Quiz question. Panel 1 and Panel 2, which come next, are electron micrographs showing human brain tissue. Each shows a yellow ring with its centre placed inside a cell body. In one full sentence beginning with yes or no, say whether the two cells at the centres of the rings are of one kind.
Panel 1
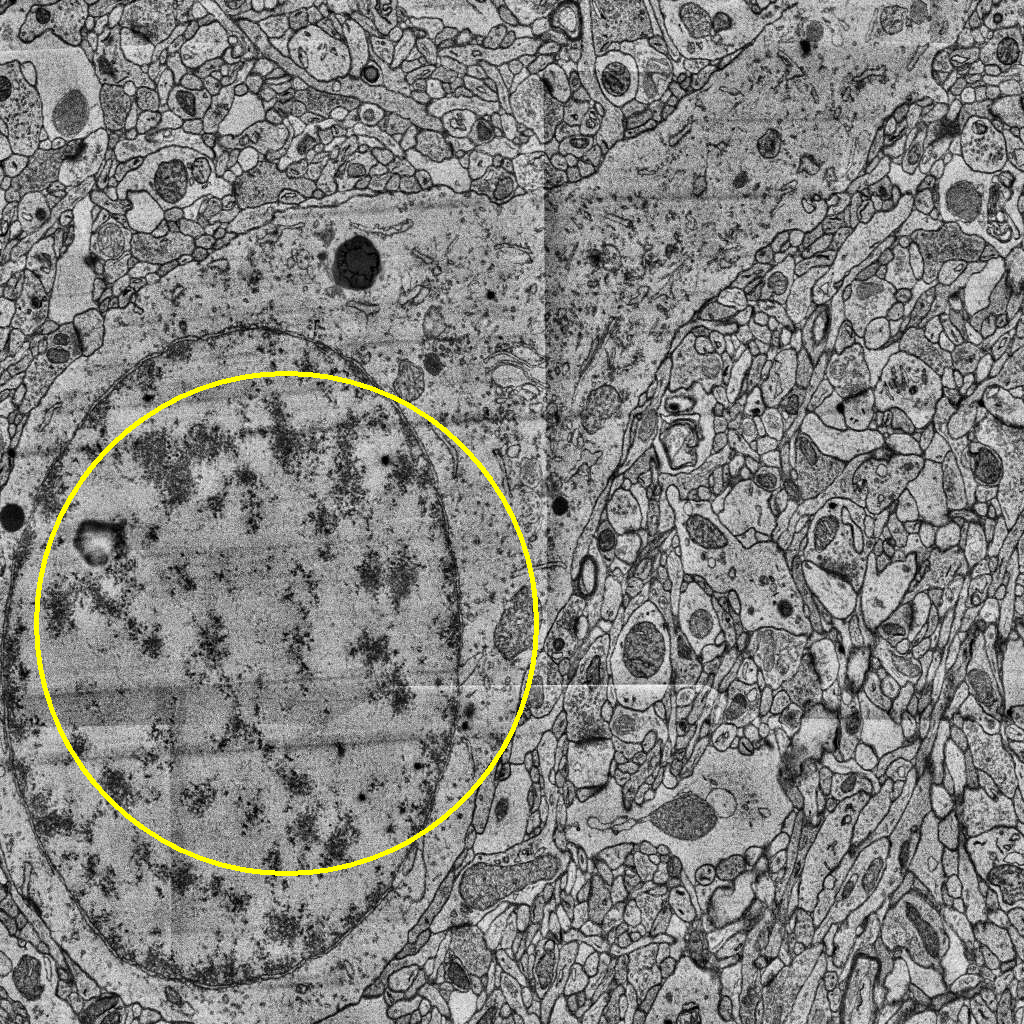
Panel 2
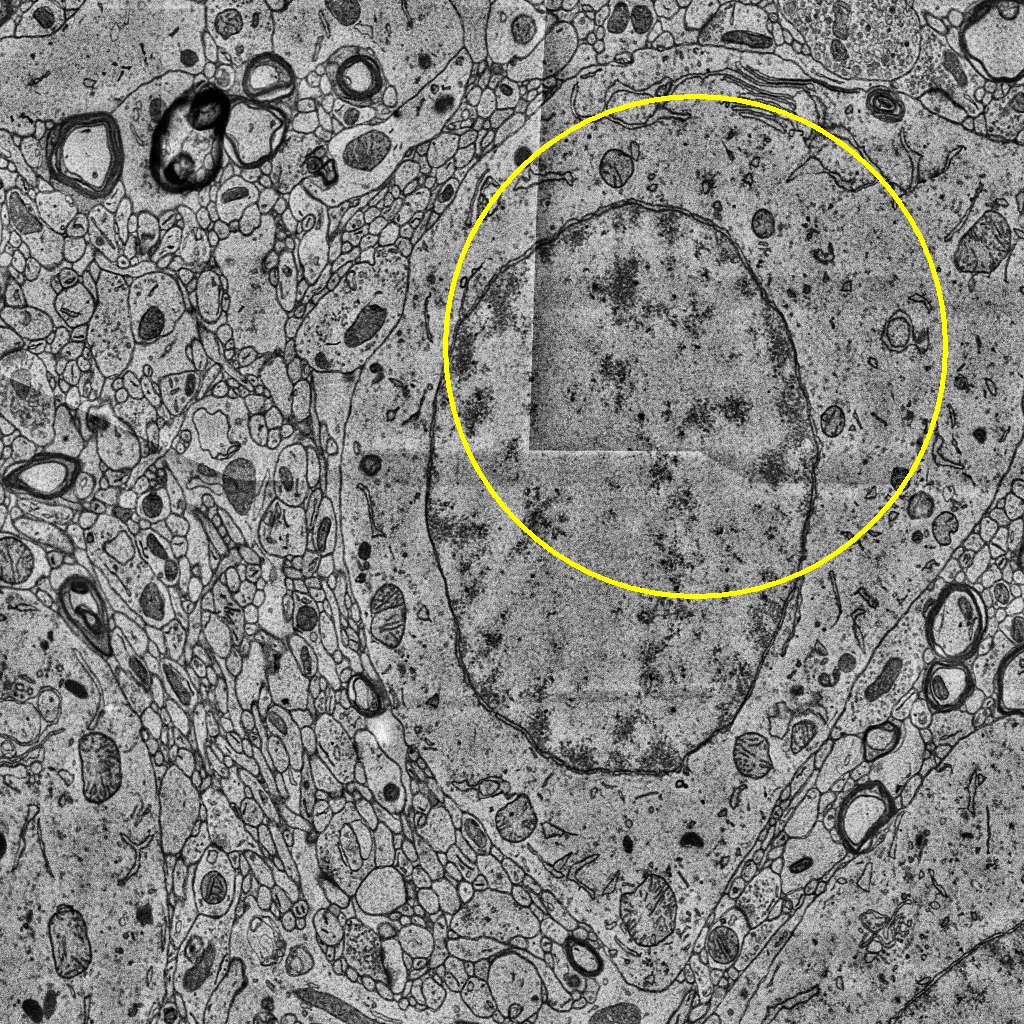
Yes, Panel 1 and Panel 2 show one kind of cell at the centre of the ring.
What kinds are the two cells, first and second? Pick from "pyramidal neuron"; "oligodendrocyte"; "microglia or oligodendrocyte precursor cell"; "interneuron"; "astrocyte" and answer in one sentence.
Each of the two cells is a pyramidal neuron.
